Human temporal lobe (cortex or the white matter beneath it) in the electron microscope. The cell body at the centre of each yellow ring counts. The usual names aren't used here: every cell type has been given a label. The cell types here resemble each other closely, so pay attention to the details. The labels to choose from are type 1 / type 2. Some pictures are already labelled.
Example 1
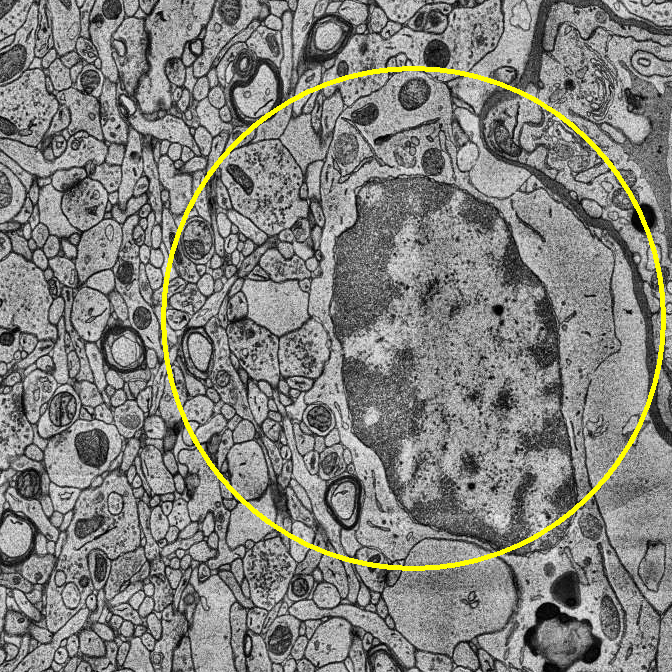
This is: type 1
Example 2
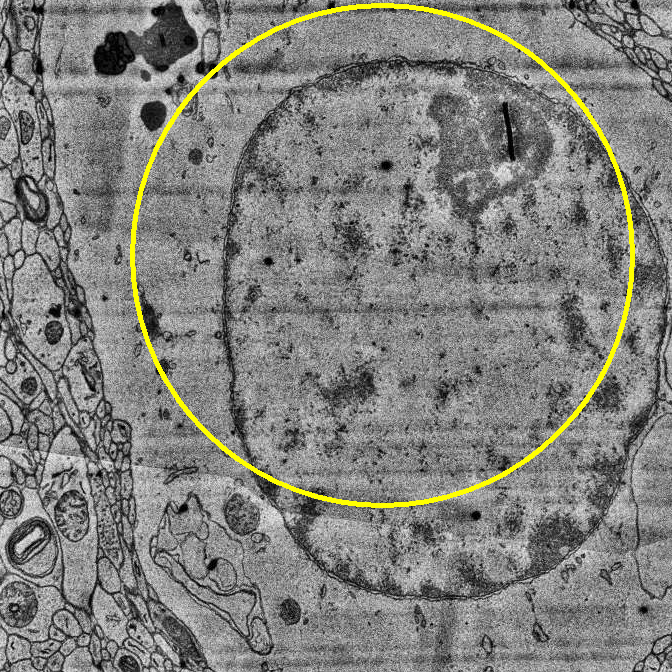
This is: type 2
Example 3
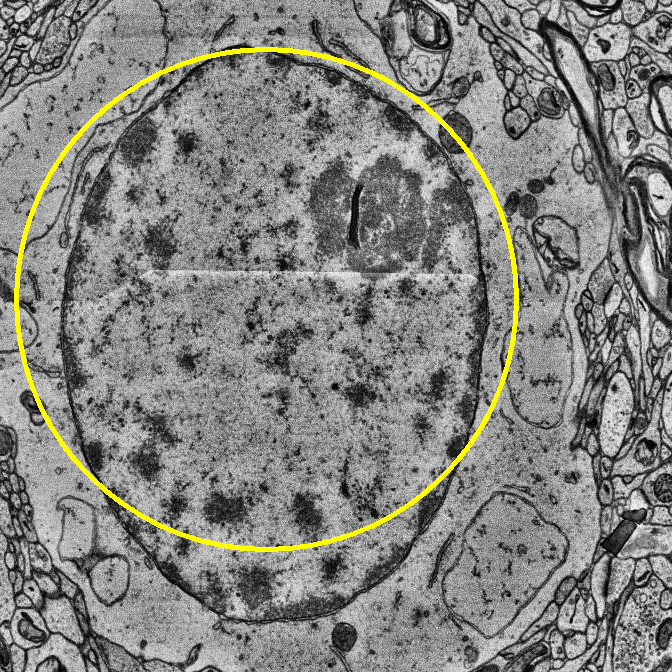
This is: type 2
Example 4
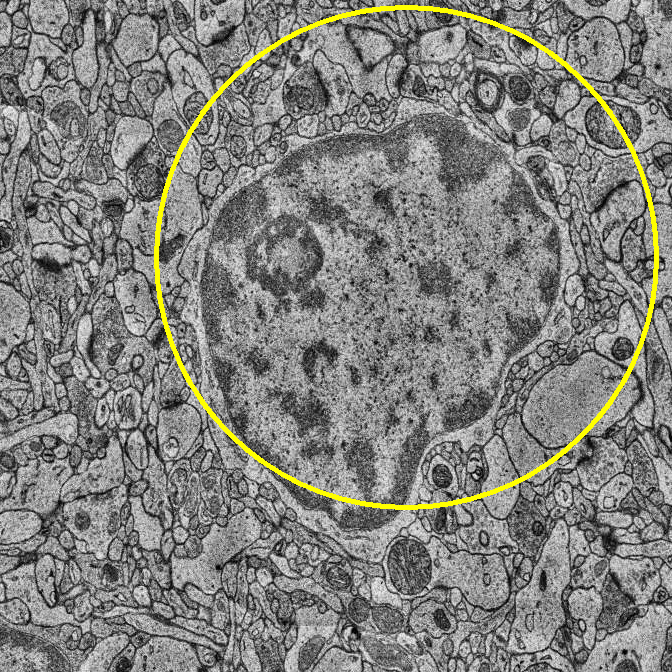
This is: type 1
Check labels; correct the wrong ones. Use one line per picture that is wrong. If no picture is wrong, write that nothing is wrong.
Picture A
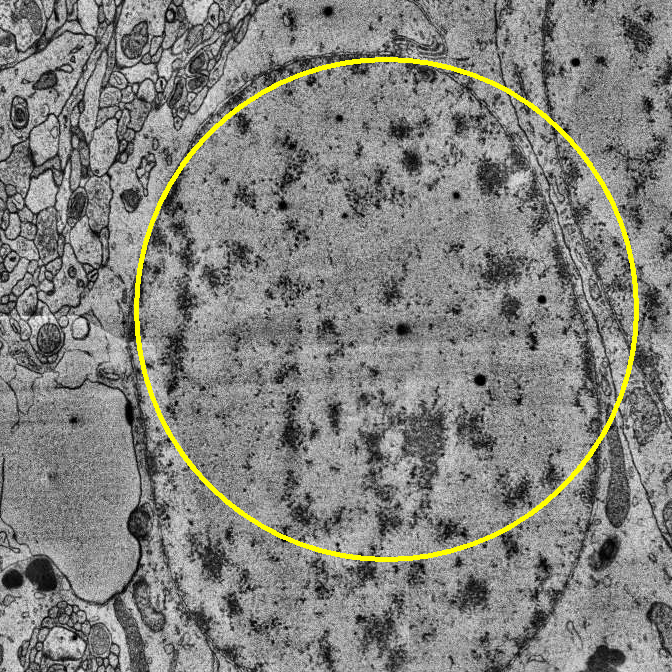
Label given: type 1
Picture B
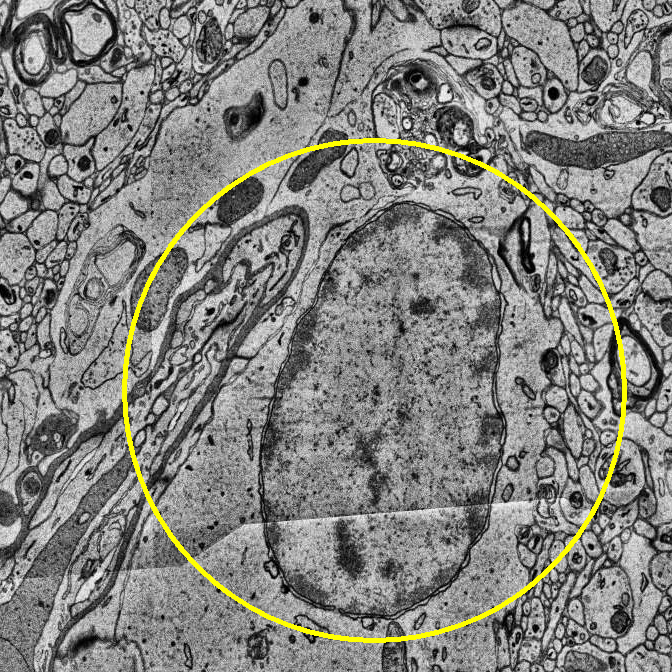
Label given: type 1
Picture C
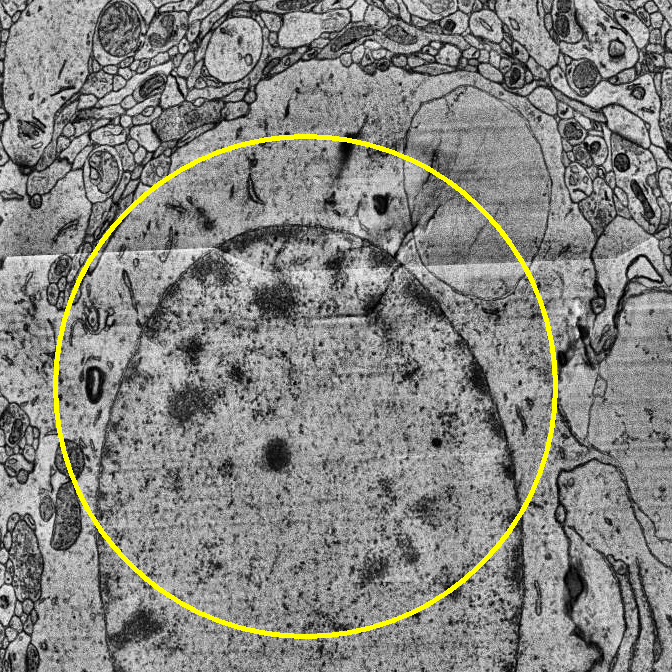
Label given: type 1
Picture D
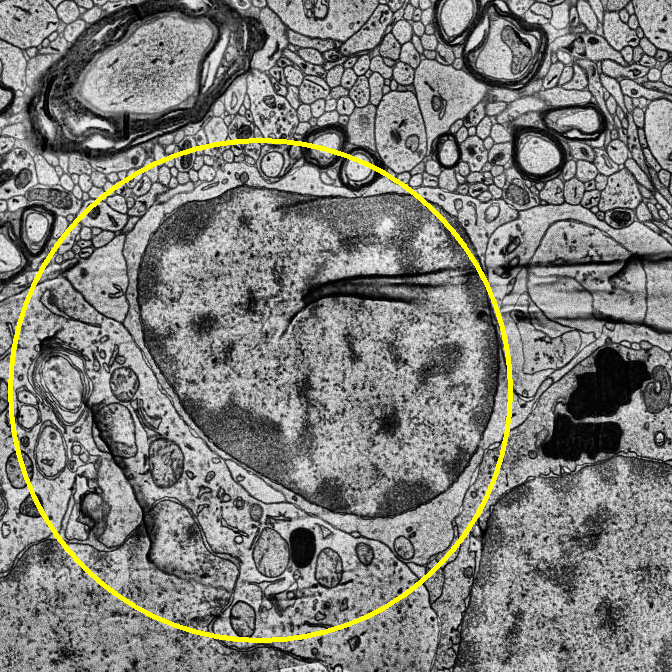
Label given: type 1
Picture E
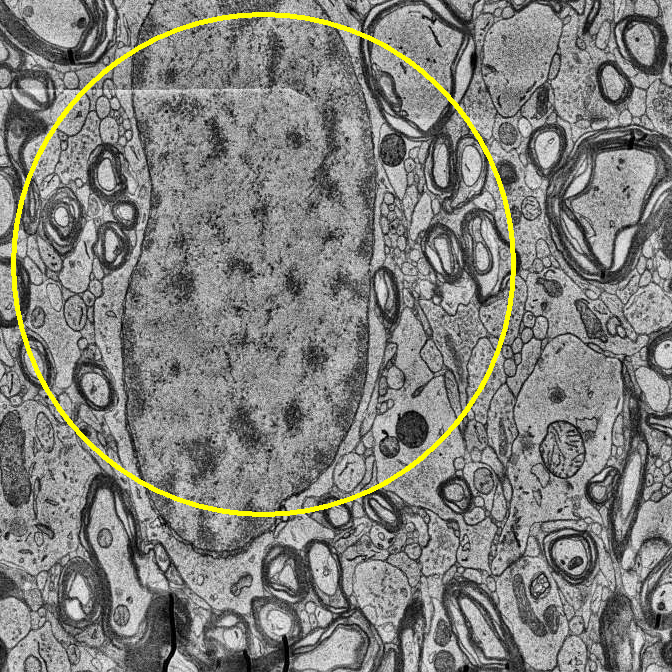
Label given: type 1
Wrong: A (type 1); correct: type 2
Wrong: C (type 1); correct: type 2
